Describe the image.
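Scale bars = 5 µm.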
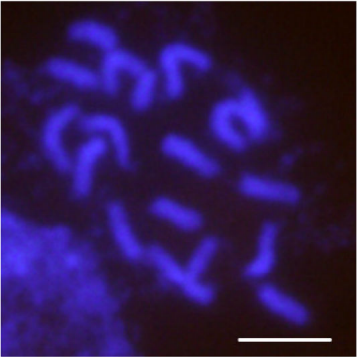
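This is a spread of mitotic chromosomes, seen as separate condensed bodies glowing blue against a dark background. The chromosomes are rod-shaped, and many are bent into hooks or C shapes. At the lower left edge lies a larger, evenly diffuse blue mass, the nucleus of a cell that is not dividing.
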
